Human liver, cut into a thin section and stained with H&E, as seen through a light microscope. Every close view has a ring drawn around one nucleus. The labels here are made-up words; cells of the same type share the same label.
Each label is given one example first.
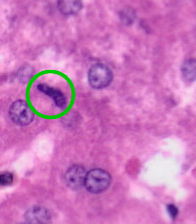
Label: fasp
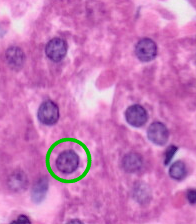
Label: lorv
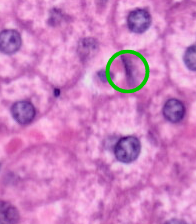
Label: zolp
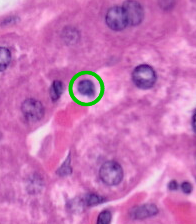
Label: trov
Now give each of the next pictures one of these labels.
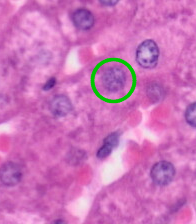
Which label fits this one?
lorv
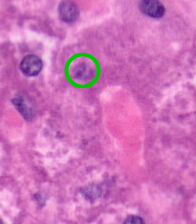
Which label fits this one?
lorv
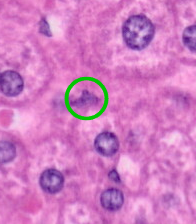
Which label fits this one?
zolp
